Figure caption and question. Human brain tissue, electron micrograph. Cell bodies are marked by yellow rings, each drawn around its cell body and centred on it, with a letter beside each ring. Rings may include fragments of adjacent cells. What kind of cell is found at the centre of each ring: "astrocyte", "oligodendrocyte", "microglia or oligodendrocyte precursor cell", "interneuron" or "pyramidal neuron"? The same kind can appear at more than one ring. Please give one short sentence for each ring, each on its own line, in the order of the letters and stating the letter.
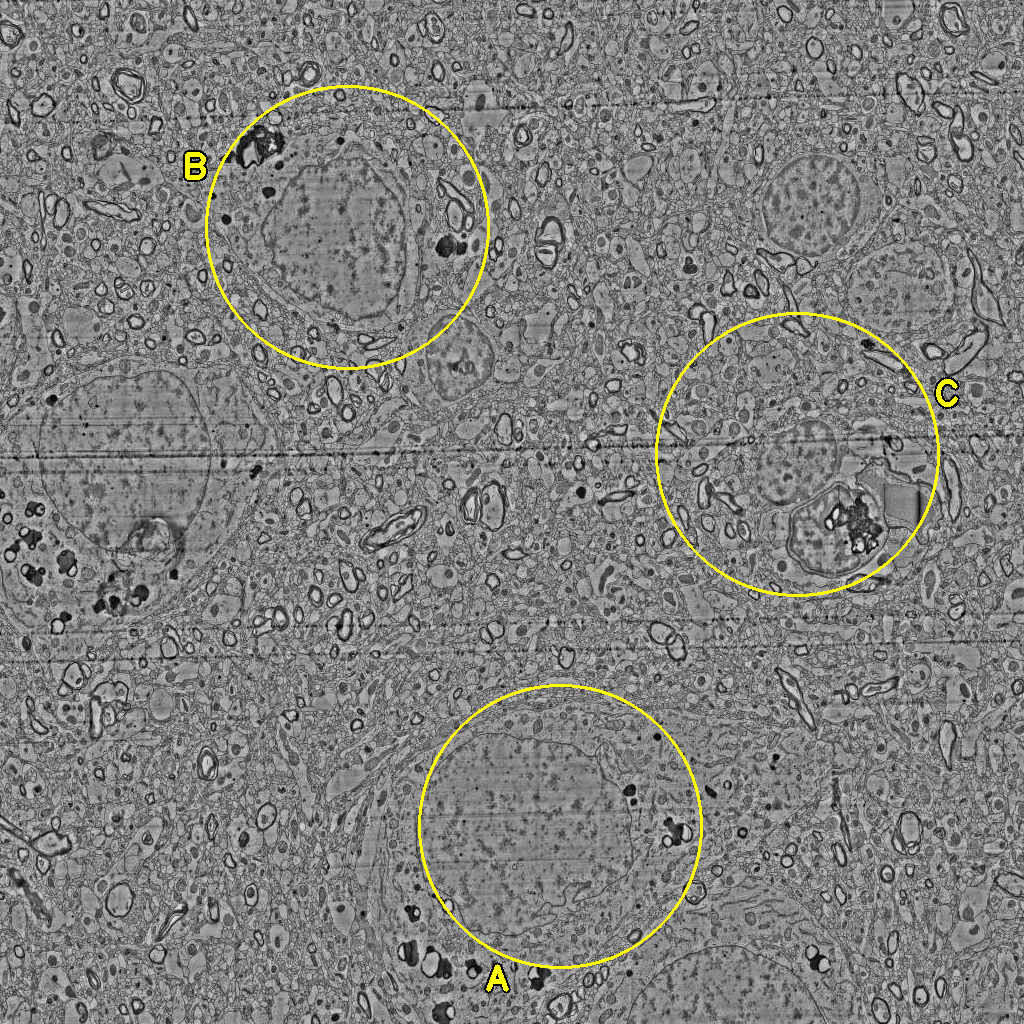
The centre of ring A falls on a pyramidal neuron.
The centre of ring B falls on an interneuron.
The centre of ring C falls on an oligodendrocyte.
